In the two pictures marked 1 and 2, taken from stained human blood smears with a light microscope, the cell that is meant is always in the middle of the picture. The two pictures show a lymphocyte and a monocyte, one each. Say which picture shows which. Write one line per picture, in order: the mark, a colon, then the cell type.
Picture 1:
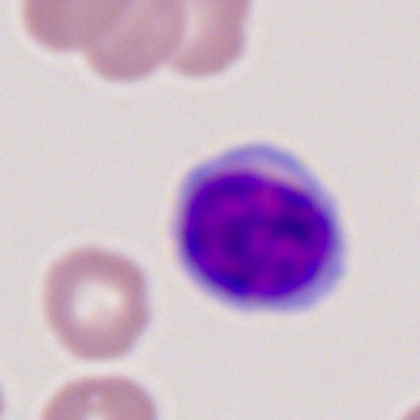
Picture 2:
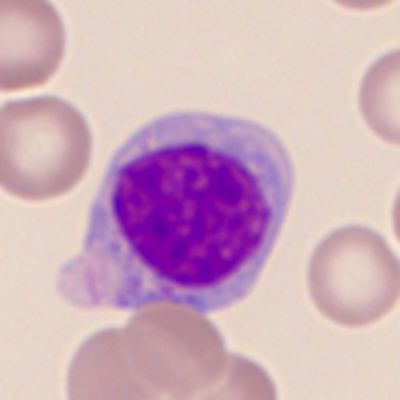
1: lymphocyte
2: monocyte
